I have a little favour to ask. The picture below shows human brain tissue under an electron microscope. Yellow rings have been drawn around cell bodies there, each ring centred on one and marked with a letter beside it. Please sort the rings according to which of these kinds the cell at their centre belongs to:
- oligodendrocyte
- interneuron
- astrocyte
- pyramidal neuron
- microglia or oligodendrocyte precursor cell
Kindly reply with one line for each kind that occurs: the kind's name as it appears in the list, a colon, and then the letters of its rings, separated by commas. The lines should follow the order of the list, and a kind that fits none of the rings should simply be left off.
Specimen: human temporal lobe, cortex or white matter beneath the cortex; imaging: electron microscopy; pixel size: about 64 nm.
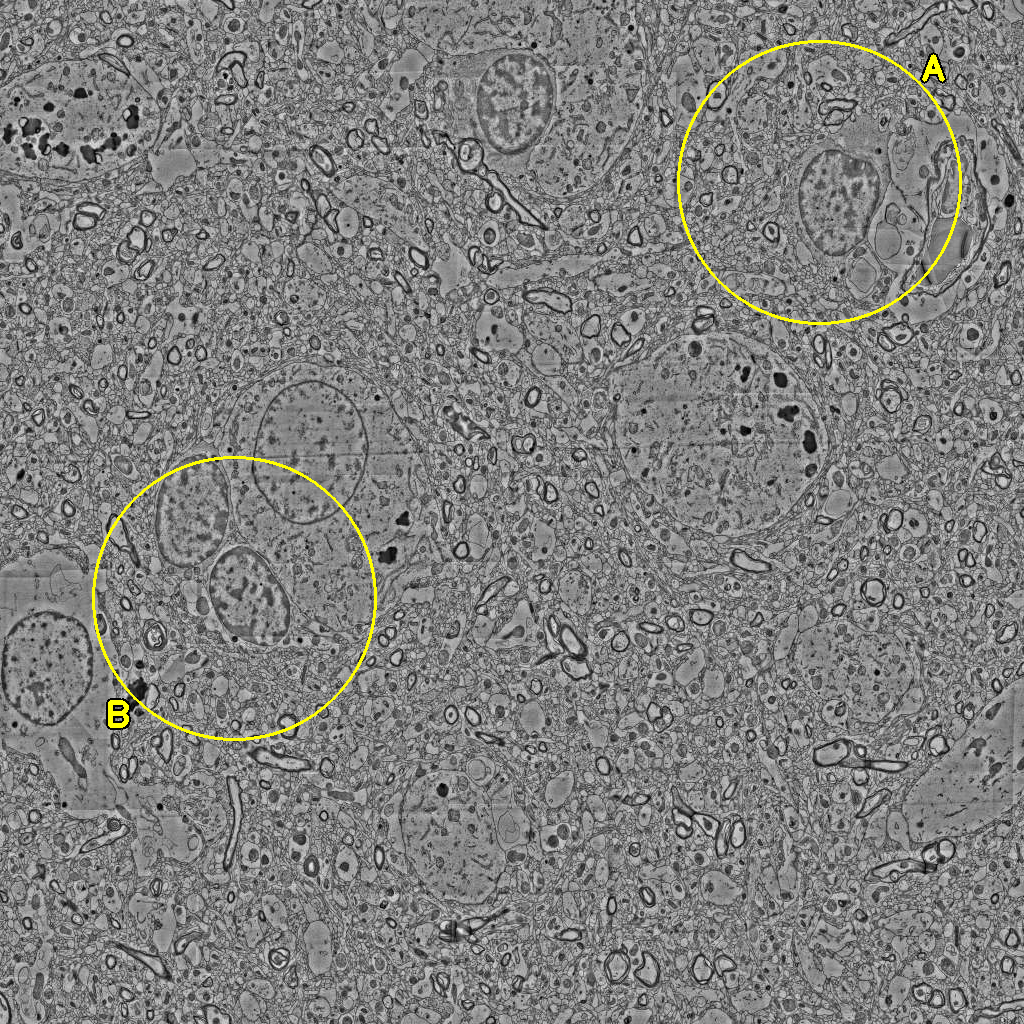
oligodendrocyte: A
microglia or oligodendrocyte precursor cell: B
